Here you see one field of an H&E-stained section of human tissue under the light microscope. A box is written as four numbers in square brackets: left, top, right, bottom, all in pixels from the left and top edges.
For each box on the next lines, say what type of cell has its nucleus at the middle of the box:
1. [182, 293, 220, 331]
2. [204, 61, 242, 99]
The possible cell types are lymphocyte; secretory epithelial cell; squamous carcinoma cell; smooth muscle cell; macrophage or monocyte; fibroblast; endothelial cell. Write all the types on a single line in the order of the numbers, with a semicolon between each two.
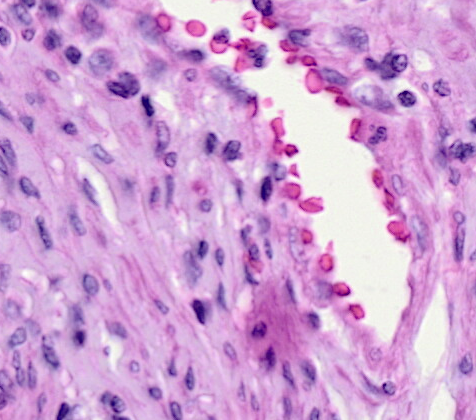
lymphocyte; endothelial cell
